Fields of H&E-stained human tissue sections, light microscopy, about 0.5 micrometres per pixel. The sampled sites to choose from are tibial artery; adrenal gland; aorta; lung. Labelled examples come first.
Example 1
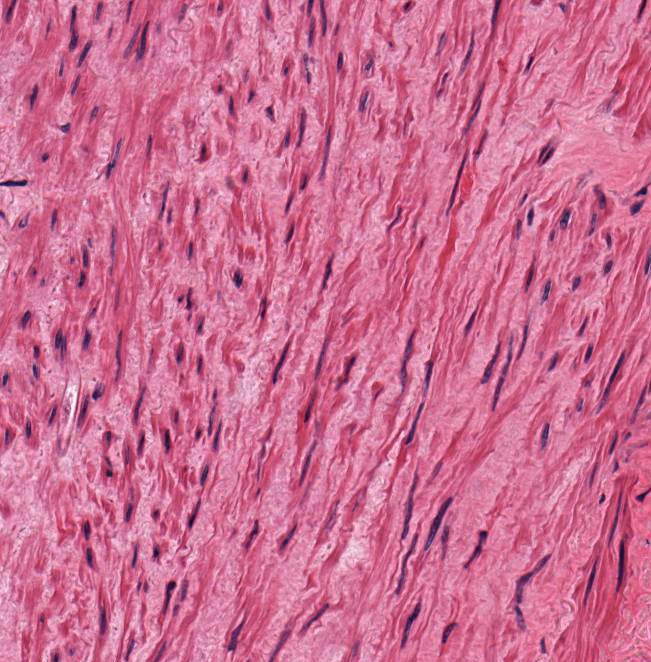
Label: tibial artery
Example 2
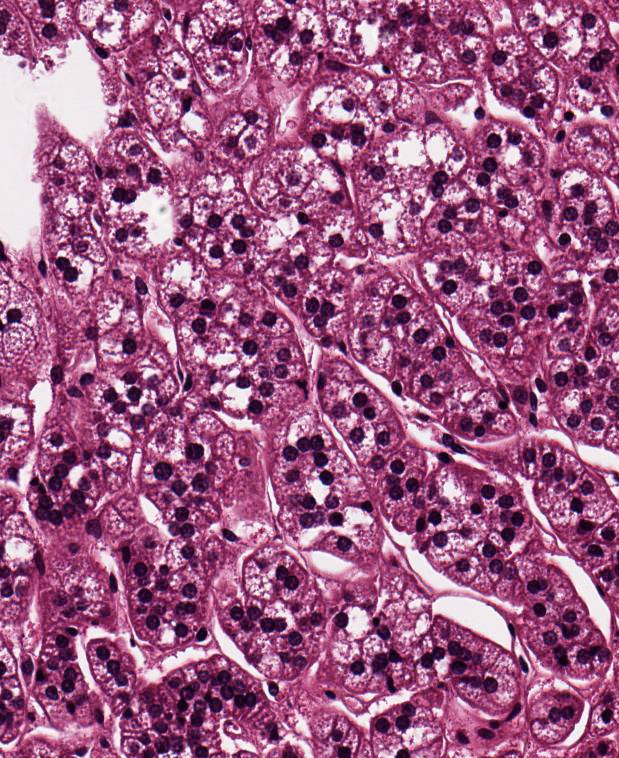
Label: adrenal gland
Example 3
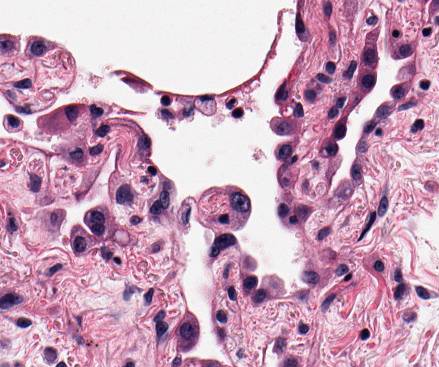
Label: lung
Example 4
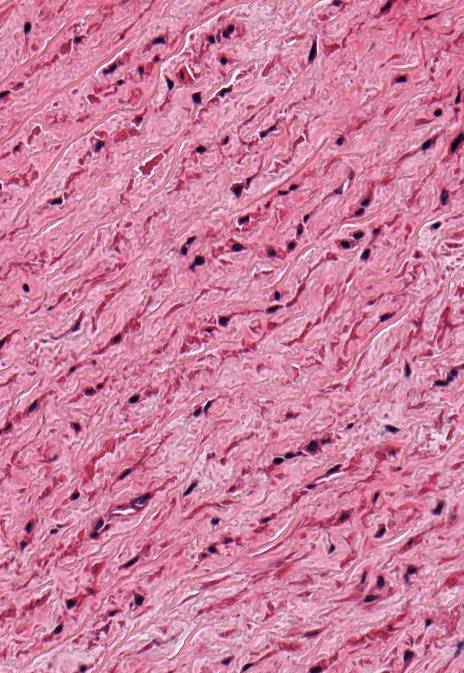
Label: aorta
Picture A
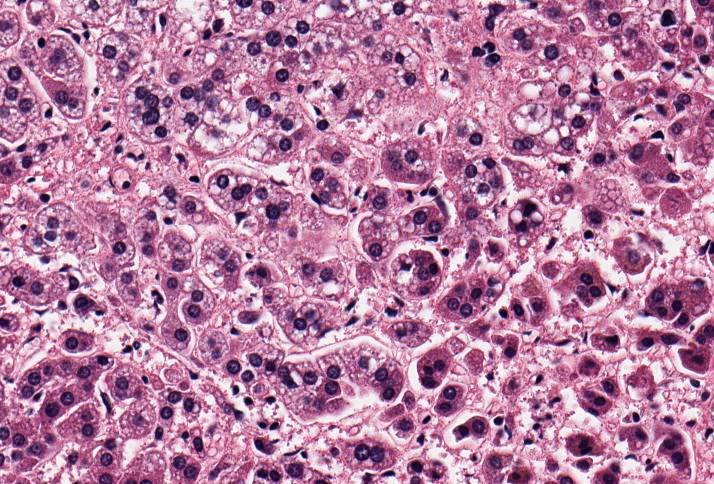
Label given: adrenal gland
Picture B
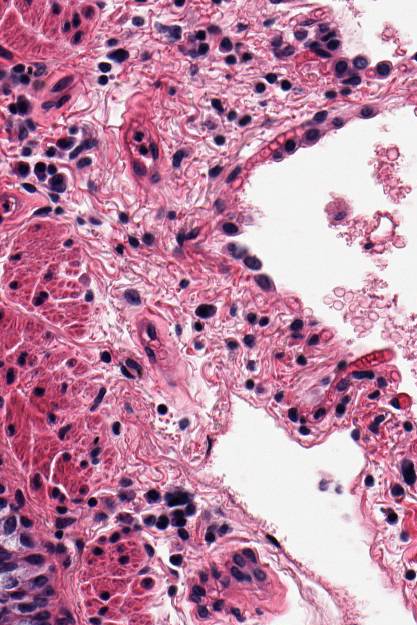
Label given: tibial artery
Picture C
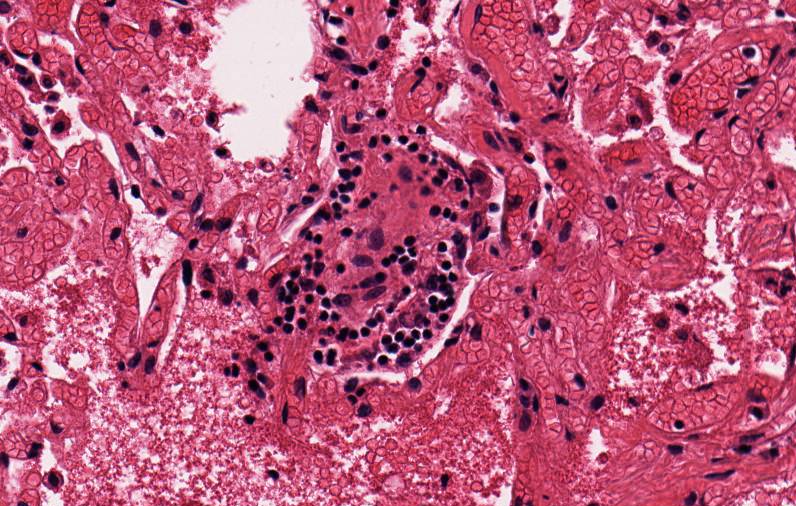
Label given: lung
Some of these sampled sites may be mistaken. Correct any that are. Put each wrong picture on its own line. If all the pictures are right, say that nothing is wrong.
B should be lung, not tibial artery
